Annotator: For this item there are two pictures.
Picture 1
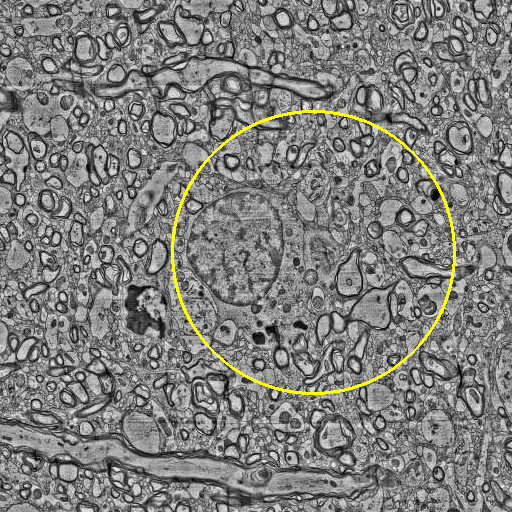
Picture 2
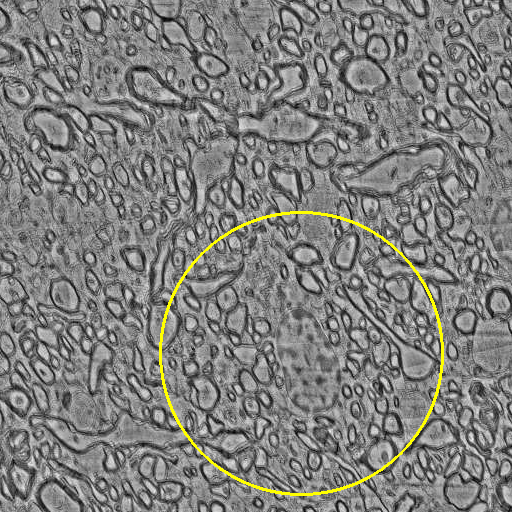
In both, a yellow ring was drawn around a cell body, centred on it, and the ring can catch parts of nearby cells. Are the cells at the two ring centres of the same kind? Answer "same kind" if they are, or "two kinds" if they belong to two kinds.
two kinds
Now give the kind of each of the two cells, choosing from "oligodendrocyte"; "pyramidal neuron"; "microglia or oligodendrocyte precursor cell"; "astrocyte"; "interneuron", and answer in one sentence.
The cell in the first picture is an oligodendrocyte, and the cell in the second is a microglial cell or oligodendrocyte precursor cell.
